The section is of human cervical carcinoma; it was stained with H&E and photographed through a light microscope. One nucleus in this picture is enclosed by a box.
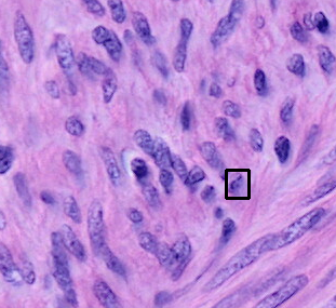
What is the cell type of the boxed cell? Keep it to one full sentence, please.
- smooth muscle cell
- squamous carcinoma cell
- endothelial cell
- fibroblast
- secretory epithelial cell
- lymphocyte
As far as its identity is concerned, the boxed cell is a smooth muscle cell.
